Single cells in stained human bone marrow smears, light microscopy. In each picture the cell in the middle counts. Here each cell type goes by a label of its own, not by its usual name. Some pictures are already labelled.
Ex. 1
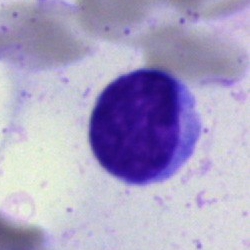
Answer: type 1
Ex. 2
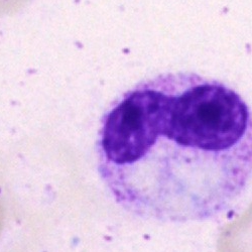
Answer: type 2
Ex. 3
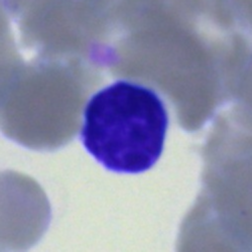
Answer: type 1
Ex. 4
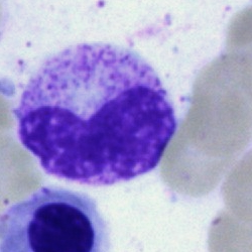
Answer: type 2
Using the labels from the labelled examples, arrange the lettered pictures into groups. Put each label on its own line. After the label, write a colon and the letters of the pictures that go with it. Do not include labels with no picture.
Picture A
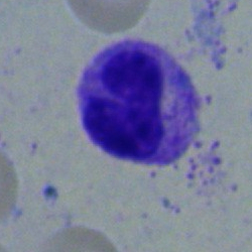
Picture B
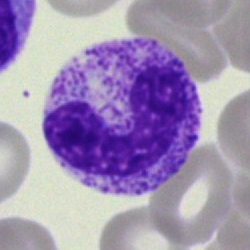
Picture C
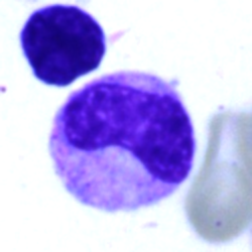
type 2: A, B, C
